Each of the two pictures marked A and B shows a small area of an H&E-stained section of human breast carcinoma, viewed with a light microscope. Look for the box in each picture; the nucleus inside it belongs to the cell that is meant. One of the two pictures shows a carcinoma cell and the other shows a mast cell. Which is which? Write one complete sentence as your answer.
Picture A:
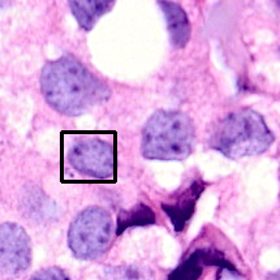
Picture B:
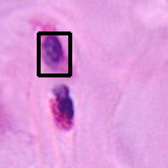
It is picture A that shows a carcinoma cell, and picture B that shows a mast cell.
